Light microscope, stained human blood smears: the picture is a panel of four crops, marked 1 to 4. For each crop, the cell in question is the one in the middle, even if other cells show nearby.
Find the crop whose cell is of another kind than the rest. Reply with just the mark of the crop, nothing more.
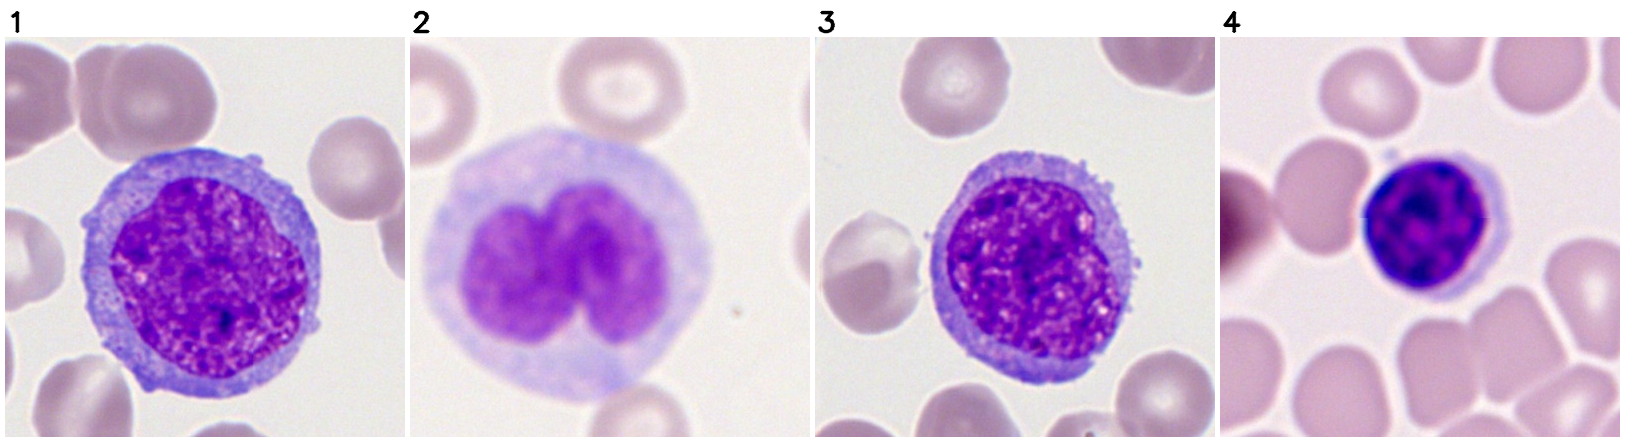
4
